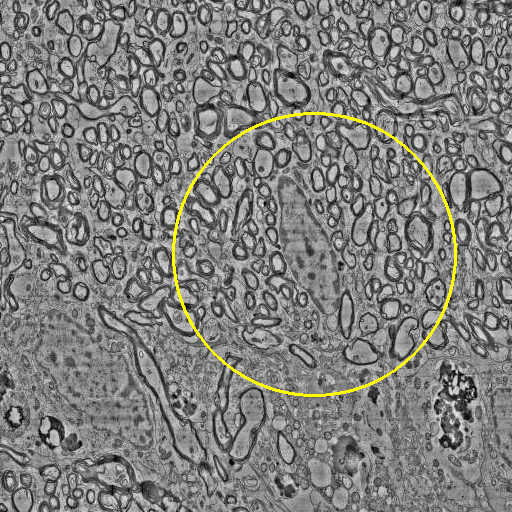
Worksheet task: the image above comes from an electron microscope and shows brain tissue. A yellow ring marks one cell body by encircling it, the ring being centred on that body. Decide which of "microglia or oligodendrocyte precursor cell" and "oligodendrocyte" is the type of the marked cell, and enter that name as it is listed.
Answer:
microglia or oligodendrocyte precursor cell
